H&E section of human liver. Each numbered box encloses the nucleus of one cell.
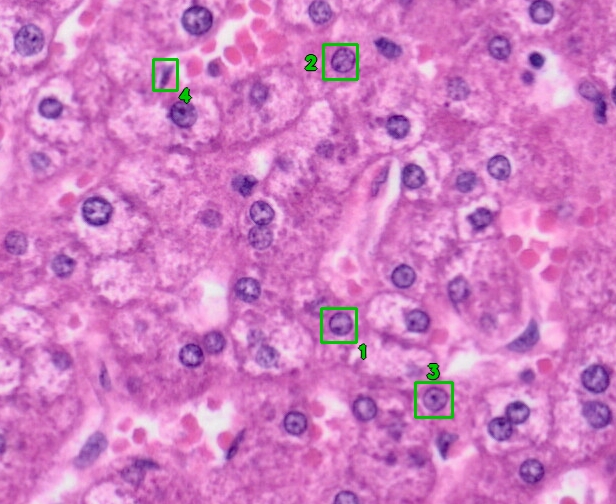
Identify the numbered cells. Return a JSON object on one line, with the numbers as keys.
{"1": "hepatocyte", "2": "hepatocyte", "3": "hepatocyte", "4": "endothelial cell"}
